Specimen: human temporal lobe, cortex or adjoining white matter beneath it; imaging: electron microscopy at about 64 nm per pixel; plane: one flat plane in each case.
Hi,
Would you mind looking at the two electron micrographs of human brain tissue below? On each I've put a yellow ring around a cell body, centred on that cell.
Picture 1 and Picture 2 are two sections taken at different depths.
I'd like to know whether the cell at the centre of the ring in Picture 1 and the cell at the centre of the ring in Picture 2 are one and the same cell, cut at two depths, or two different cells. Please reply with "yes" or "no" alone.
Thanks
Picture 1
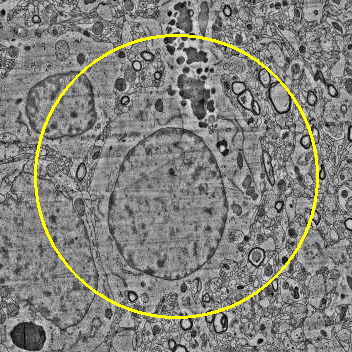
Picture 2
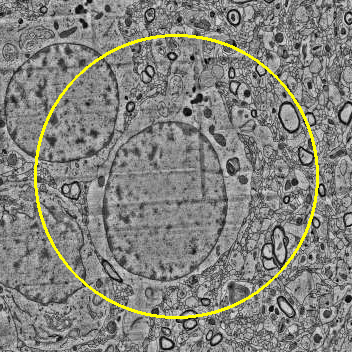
yes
